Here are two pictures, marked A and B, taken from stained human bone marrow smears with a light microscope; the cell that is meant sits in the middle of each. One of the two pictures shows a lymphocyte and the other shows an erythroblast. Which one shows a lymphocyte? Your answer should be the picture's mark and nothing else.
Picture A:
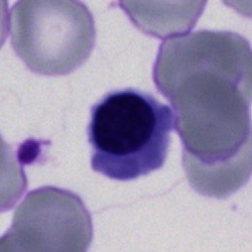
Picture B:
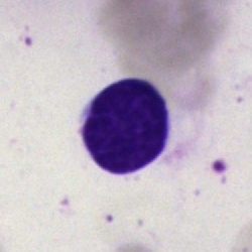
B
